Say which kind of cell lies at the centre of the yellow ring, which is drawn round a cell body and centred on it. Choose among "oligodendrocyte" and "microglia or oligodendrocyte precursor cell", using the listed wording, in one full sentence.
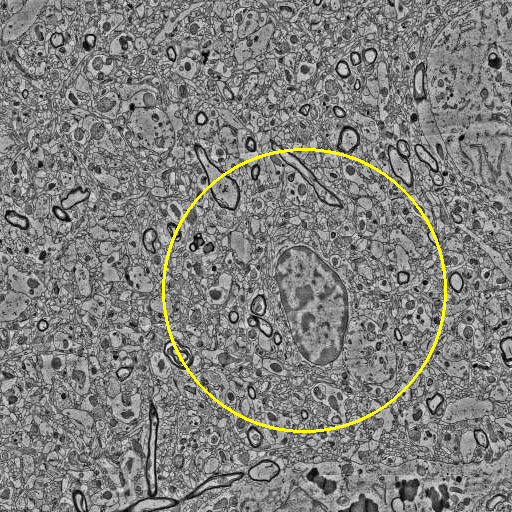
Going by the list, the cell at the yellow ring's centre is a microglial cell or oligodendrocyte precursor cell.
